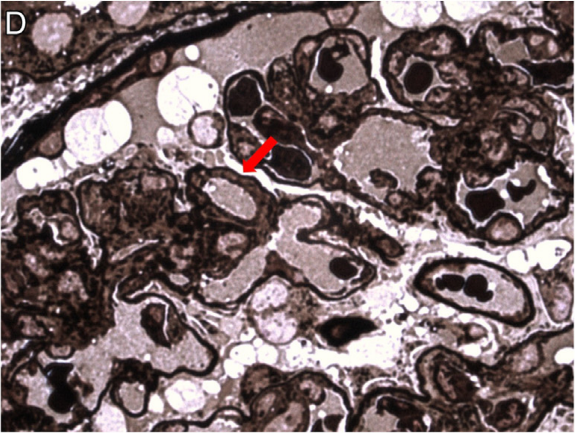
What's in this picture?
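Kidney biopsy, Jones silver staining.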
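This is a glomerulus in which the capillary loops are outlined by black silver-stained basement membranes. Several loops show a wall split into two parallel contours, with material lying between the layers. The capillary lumina contain pale grey content and some dark round bodies, and the tuft is lobulated with dark-staining matrix between loops. A thick black line at the upper left marks the capsule around the tuft, with clear vacuolated spaces in parts of the field.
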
